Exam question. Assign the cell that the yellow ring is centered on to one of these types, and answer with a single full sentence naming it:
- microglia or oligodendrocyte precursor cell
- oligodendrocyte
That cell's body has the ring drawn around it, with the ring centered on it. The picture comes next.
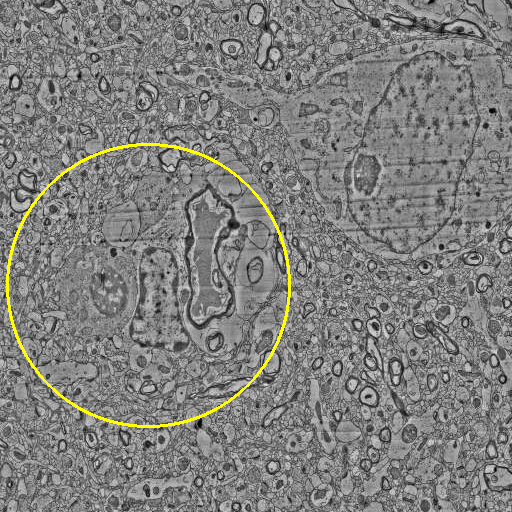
In the micrograph, the cell the yellow ring is centered on is a microglial cell or oligodendrocyte precursor cell.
